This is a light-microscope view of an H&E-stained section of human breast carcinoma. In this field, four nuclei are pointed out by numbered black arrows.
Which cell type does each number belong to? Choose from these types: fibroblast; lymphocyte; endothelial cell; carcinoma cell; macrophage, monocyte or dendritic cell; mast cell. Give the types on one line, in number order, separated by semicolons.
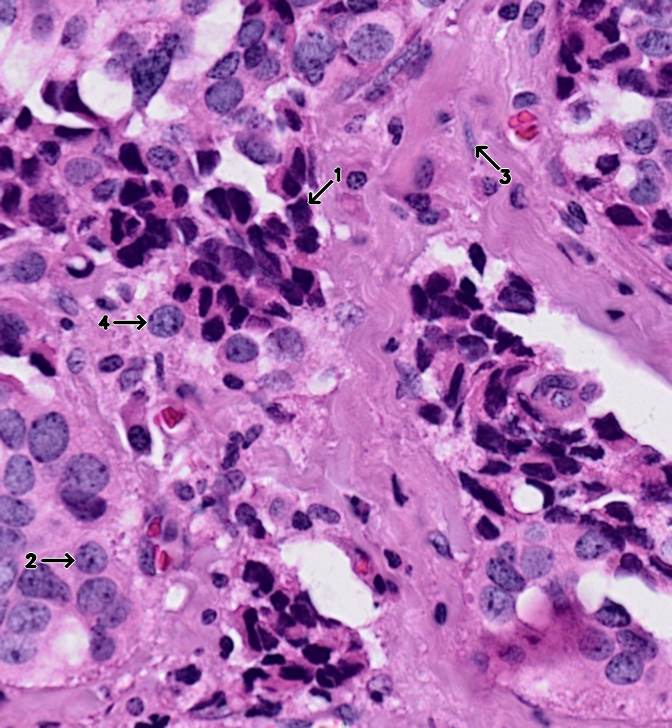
carcinoma cell; carcinoma cell; fibroblast; carcinoma cell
